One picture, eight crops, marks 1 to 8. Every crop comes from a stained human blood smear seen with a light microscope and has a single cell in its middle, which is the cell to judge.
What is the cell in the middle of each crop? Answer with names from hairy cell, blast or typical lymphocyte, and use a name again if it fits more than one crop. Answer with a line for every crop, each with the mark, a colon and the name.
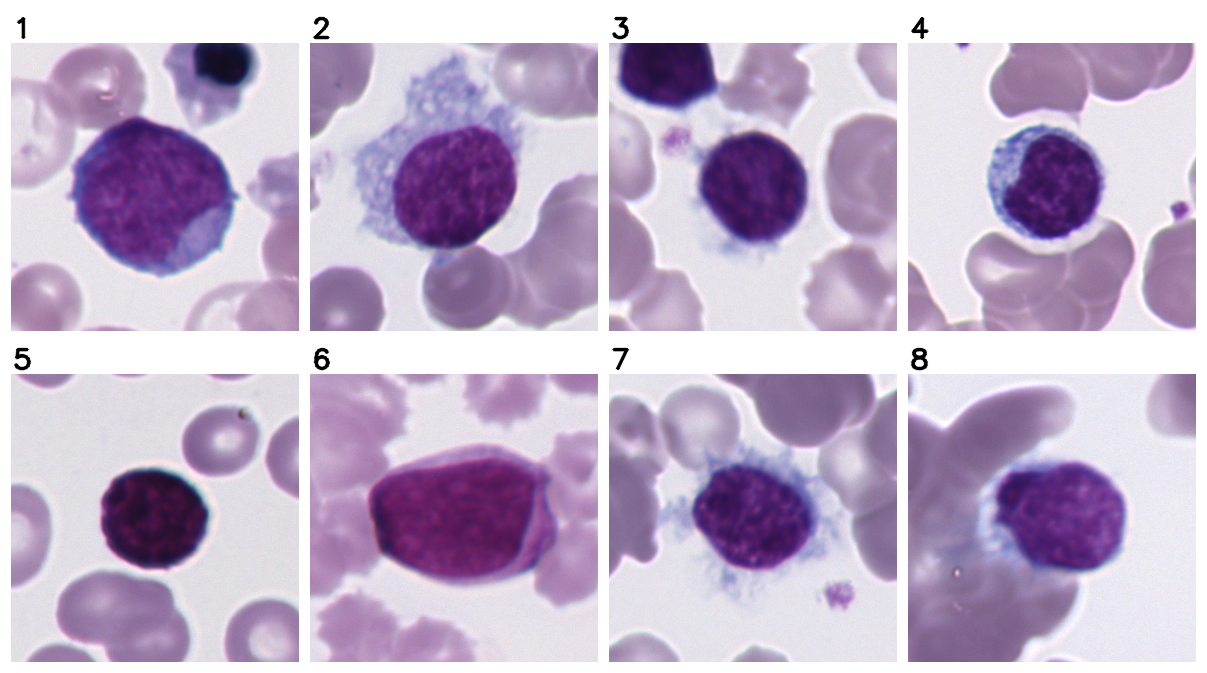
1: blast
2: hairy cell
3: hairy cell
4: typical lymphocyte
5: blast
6: blast
7: hairy cell
8: hairy cell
